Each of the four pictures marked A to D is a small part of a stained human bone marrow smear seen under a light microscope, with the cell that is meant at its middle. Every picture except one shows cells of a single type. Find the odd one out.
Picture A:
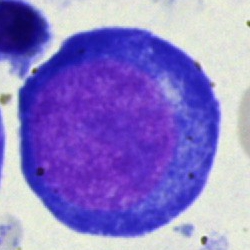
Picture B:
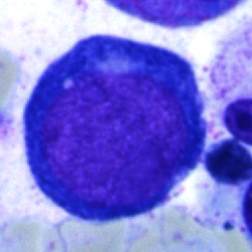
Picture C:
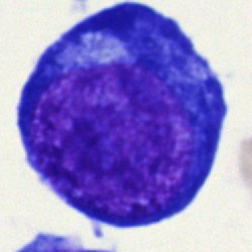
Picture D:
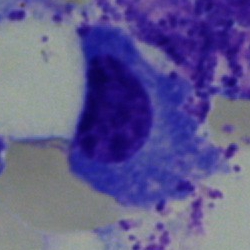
D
